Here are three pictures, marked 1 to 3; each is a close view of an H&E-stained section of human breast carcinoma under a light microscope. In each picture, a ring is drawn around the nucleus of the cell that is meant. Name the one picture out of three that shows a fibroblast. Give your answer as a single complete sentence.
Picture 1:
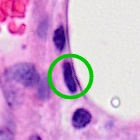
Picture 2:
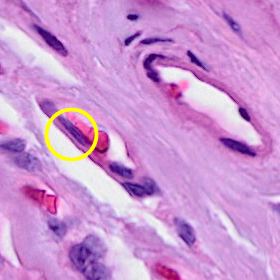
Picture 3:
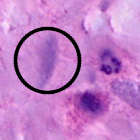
The cell in picture 3 is the fibroblast.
